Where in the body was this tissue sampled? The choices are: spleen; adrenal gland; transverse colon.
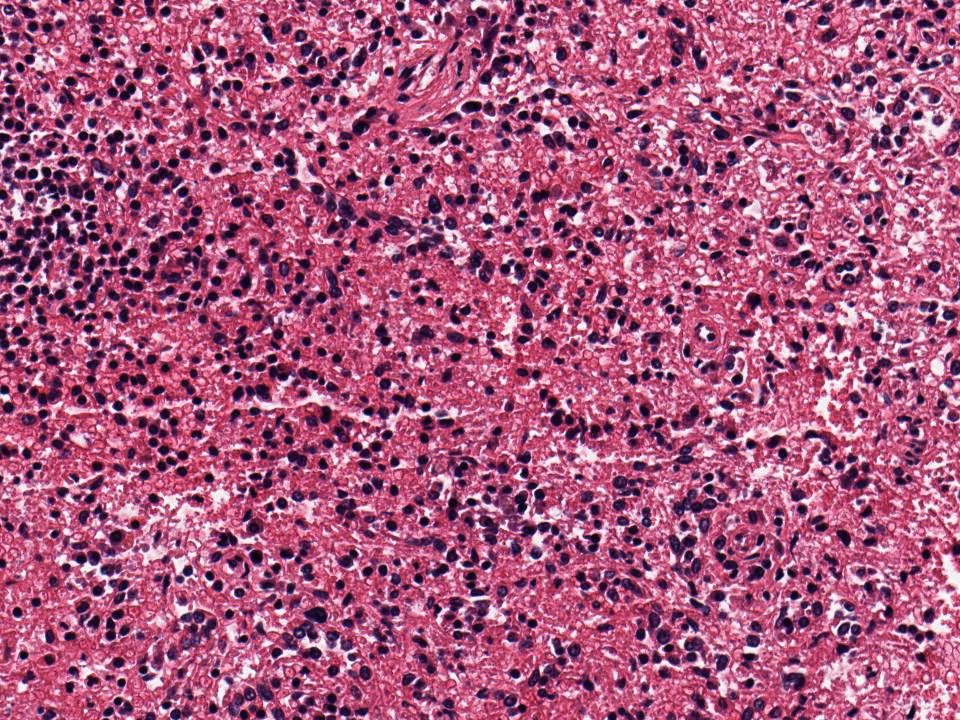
spleen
